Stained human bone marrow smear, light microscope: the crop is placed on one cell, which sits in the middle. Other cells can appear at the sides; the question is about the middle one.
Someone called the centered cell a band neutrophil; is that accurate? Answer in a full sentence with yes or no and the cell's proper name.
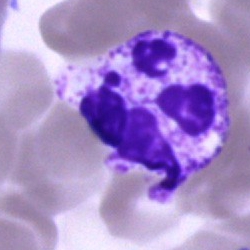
No, what sits in the centre of the crop is a segmented neutrophil rather than a band neutrophil.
